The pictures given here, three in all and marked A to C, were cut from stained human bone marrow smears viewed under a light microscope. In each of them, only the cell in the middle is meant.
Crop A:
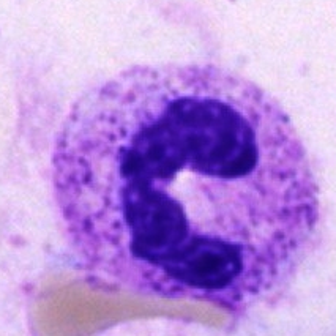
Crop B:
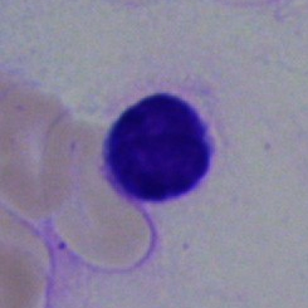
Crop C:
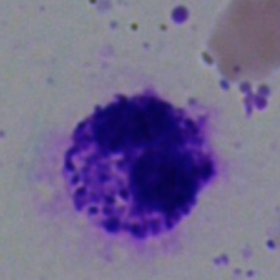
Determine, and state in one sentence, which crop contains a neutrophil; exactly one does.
Crop A is the crop in which a neutrophil is shown.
